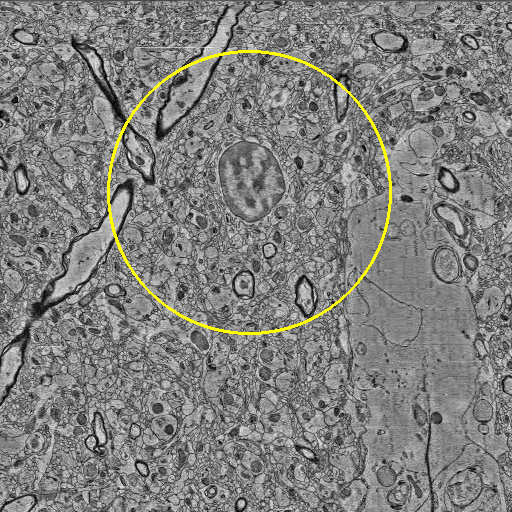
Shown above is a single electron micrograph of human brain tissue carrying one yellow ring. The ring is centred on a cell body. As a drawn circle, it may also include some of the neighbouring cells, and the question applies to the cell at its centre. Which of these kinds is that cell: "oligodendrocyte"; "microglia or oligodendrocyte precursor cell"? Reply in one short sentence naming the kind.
The cell marked by the ring is a microglial cell or oligodendrocyte precursor cell.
